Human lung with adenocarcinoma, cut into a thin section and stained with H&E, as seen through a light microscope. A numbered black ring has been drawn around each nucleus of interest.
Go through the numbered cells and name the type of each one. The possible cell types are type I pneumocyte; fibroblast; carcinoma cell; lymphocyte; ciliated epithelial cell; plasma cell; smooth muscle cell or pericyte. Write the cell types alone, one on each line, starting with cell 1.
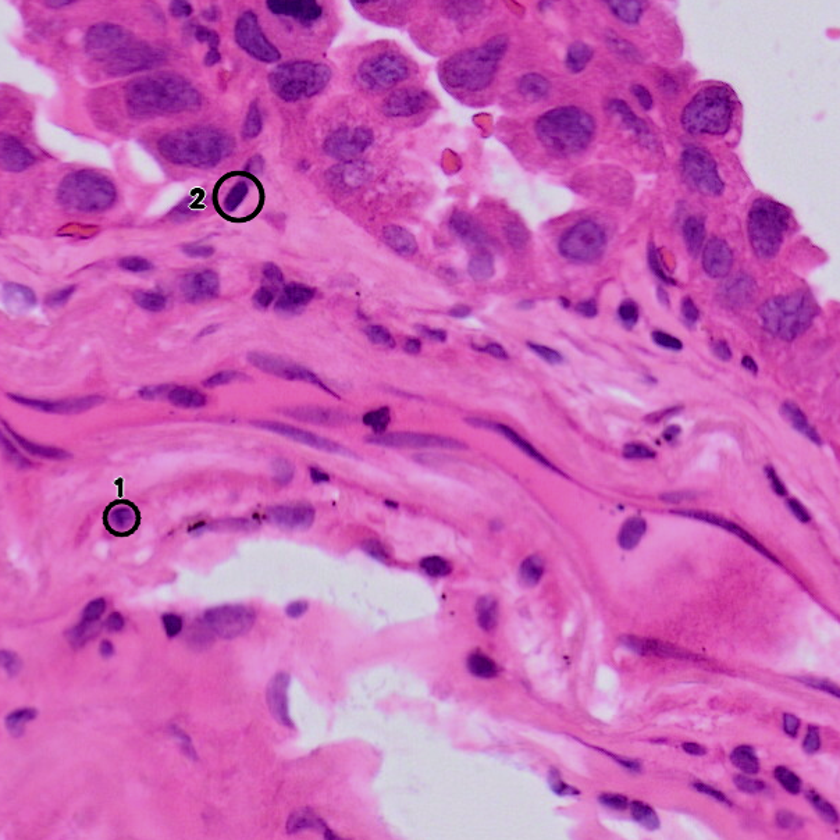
smooth muscle cell or pericyte
lymphocyte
